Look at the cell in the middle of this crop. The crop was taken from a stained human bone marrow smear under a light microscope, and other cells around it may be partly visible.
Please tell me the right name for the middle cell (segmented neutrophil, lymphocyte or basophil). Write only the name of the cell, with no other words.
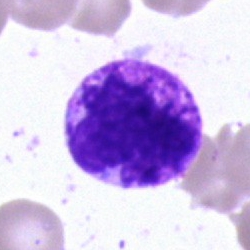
basophil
